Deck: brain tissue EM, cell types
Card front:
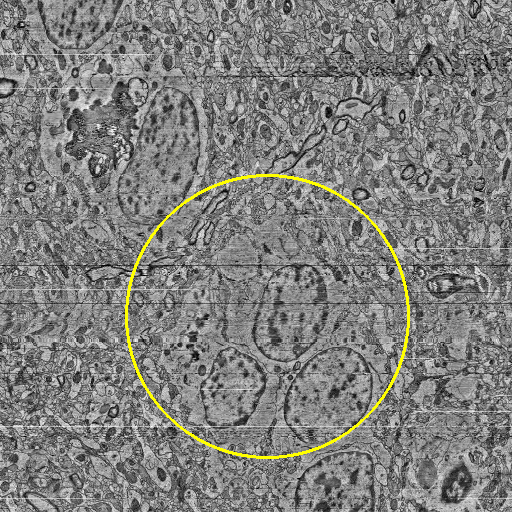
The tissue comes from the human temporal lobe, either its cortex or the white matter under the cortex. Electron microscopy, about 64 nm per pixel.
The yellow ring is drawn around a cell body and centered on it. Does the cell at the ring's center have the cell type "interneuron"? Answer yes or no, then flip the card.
no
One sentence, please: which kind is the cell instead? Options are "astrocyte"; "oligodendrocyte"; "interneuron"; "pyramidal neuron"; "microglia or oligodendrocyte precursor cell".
The cell at the ring centre is an astrocyte.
